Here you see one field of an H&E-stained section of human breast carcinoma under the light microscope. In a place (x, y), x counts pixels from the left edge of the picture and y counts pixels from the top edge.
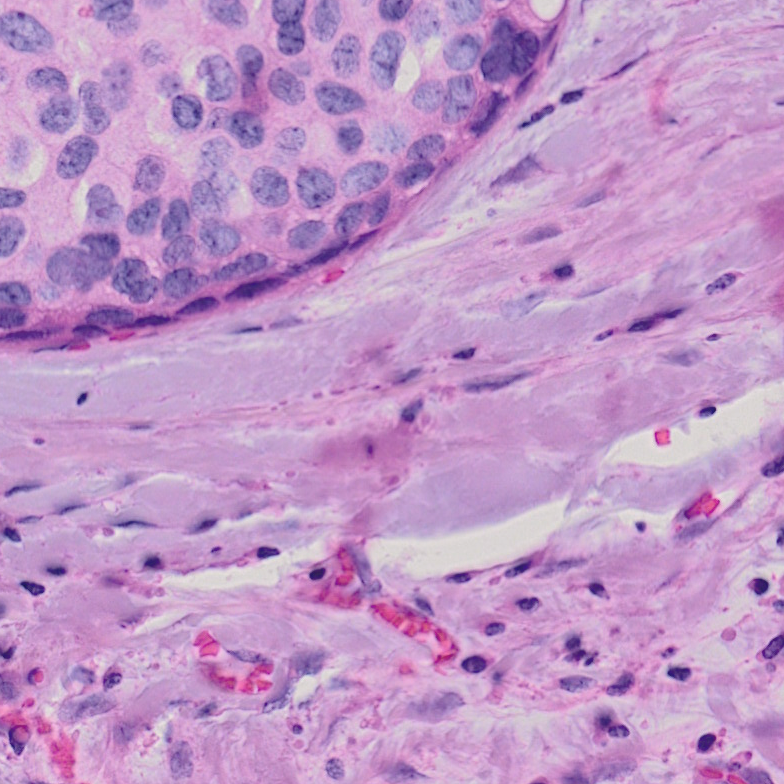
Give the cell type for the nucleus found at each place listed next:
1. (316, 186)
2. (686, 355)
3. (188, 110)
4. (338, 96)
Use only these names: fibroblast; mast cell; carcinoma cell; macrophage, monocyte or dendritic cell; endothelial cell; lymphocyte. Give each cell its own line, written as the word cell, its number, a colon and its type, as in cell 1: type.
cell 1: carcinoma cell
cell 2: fibroblast
cell 3: carcinoma cell
cell 4: carcinoma cell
